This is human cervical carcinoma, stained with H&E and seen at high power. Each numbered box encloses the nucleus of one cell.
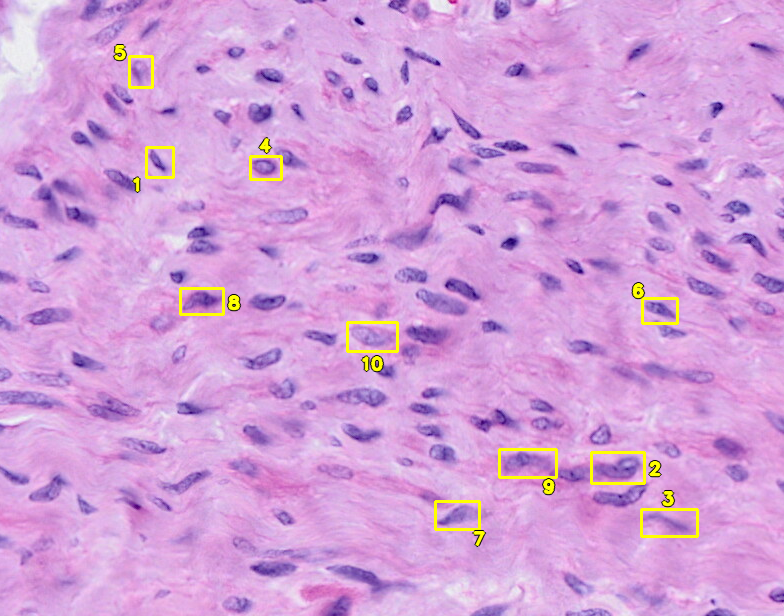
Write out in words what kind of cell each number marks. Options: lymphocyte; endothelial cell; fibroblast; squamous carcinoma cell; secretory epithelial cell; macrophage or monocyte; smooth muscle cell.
Cell 1 is a fibroblast, cell 2 is a smooth muscle cell, cell 3 is a fibroblast, cell 4 is a smooth muscle cell, cell 5 is a smooth muscle cell, cell 6 is a fibroblast, cell 7 is a fibroblast, cell 8 is a smooth muscle cell, cell 9 is a smooth muscle cell and cell 10 is a smooth muscle cell.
